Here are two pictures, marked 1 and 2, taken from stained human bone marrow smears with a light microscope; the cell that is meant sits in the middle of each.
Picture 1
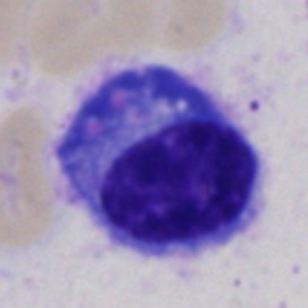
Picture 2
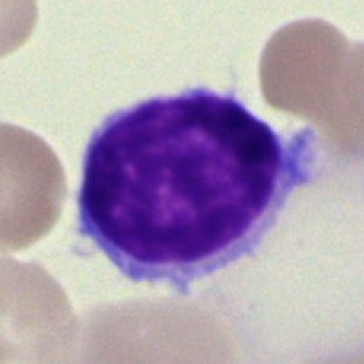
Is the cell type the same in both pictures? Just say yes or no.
no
